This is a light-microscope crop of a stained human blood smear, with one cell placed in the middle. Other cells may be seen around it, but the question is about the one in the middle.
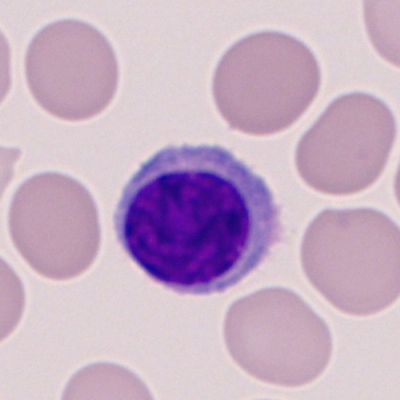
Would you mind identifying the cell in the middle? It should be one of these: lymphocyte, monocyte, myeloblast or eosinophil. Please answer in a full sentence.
In short, the cell at the center is a lymphocyte.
